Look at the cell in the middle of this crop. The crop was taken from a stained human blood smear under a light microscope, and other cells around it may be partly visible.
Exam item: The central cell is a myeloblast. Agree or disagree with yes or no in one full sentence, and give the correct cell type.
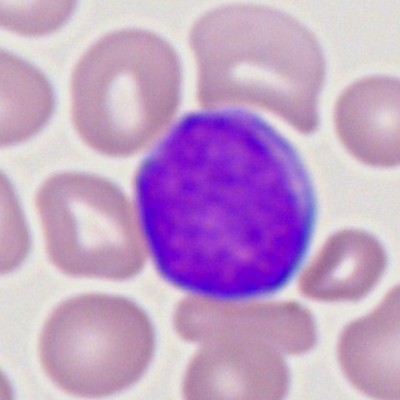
Yes, the identification of the central cell as a myeloblast is correct.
